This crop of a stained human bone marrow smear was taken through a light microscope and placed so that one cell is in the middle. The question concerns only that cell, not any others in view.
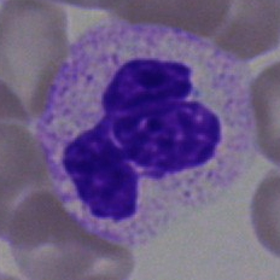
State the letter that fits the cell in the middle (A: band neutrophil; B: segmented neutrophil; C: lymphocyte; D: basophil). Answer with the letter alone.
B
